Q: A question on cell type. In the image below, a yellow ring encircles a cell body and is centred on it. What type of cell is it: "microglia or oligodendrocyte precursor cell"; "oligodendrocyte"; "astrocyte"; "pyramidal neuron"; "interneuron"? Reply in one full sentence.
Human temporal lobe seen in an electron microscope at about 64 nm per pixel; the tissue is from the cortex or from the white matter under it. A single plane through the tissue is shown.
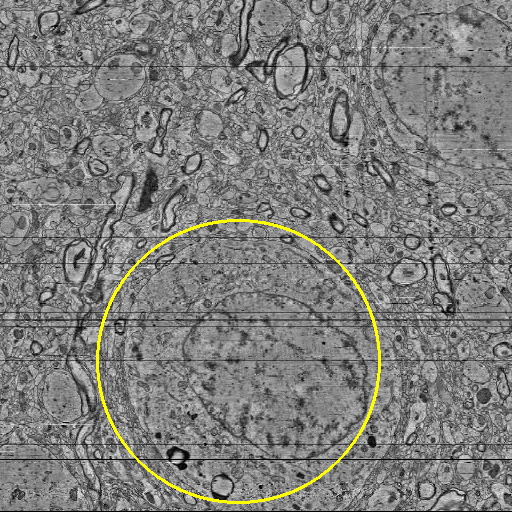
It is a pyramidal neuron whose cell body sits at the centre of the yellow ring in the image.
